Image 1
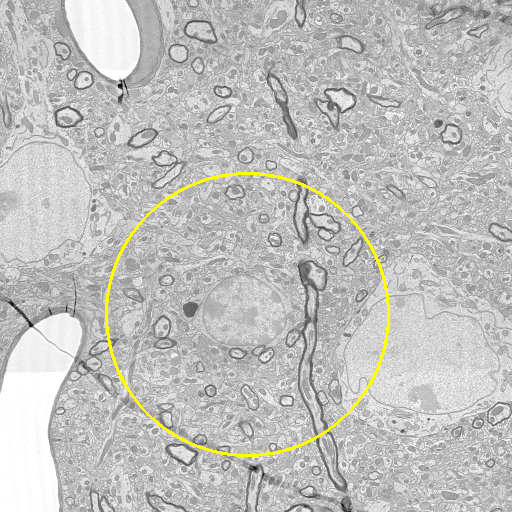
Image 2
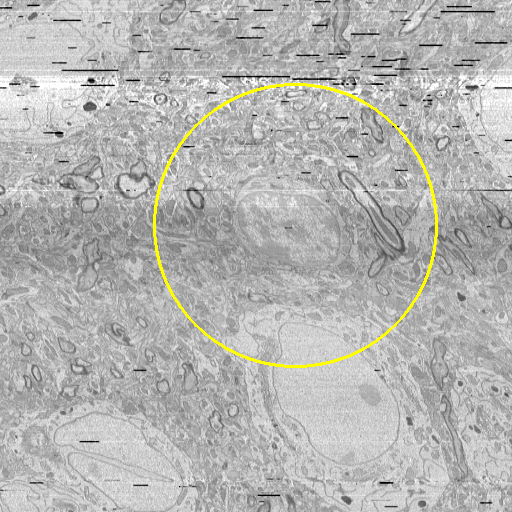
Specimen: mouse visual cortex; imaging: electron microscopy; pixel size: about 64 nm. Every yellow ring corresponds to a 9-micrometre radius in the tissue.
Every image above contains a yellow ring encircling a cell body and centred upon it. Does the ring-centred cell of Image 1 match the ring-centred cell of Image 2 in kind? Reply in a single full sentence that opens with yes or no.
Yes, the cell at the ring's centre in Image 1 is the same kind as that in Image 2.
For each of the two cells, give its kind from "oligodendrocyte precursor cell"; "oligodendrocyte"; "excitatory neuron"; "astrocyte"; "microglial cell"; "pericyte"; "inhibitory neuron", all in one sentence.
Each cell, in the first picture and the second, is an oligodendrocyte.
